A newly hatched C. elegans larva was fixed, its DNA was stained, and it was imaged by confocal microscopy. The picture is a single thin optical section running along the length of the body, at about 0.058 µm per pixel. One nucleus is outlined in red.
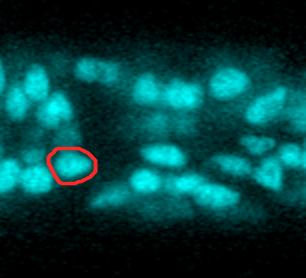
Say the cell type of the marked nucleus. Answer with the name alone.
GLR cell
